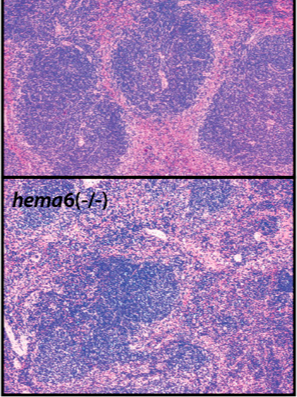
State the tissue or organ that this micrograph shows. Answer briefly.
Spleens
